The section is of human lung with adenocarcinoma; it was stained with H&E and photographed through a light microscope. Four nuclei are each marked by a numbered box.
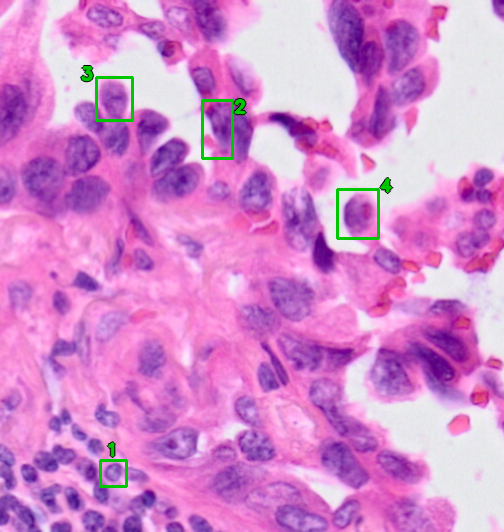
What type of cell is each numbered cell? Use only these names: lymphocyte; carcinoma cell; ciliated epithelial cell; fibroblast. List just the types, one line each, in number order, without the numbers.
lymphocyte
carcinoma cell
carcinoma cell
carcinoma cell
